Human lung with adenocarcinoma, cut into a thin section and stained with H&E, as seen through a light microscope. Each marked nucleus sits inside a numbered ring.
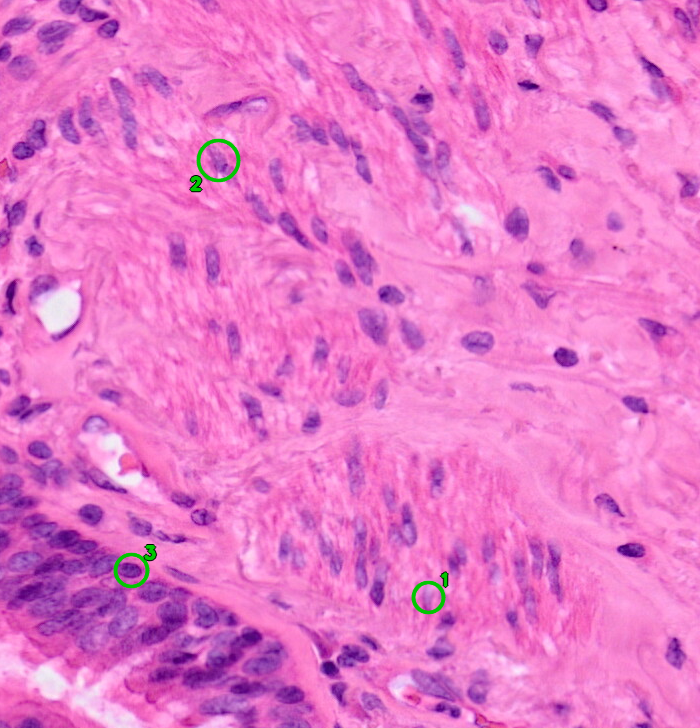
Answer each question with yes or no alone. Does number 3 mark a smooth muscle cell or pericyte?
no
